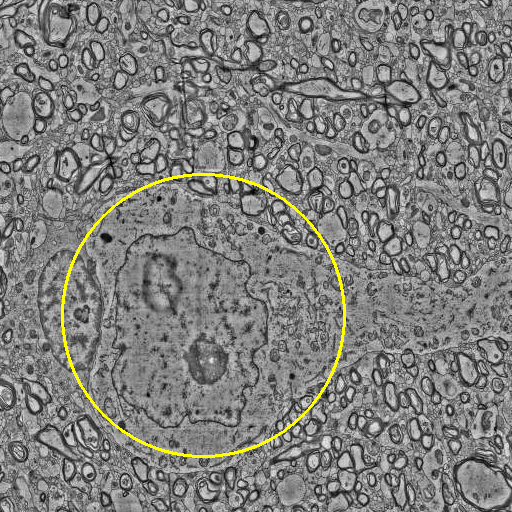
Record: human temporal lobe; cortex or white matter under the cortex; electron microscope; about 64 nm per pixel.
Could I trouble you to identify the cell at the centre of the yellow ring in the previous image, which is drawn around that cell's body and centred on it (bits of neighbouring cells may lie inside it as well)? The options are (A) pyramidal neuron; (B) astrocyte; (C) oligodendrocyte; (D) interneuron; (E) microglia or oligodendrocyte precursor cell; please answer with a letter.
A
